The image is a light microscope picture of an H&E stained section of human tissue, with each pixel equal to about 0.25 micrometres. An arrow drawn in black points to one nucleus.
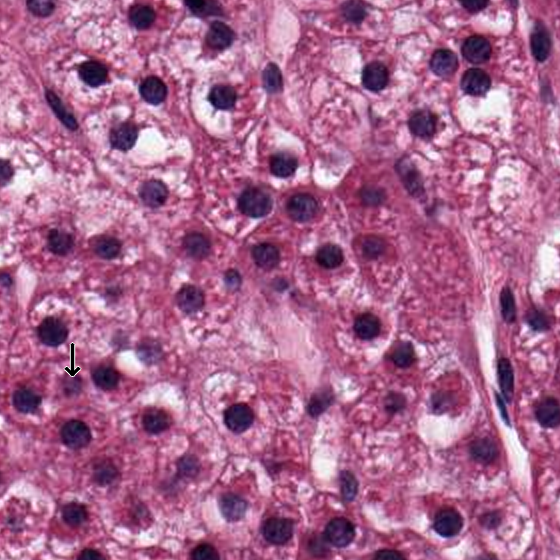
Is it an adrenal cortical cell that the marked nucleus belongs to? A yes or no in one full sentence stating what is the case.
Yes, the nucleus indicated by the marking belongs to an adrenal cortical cell.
